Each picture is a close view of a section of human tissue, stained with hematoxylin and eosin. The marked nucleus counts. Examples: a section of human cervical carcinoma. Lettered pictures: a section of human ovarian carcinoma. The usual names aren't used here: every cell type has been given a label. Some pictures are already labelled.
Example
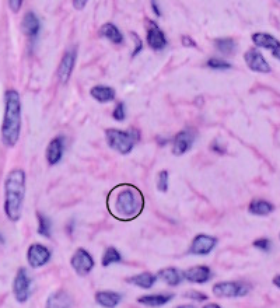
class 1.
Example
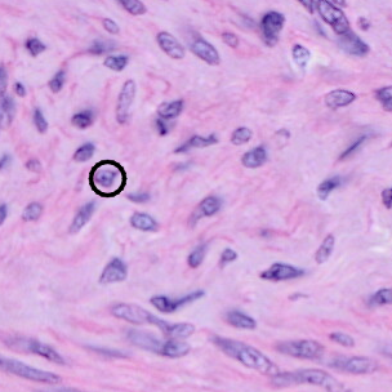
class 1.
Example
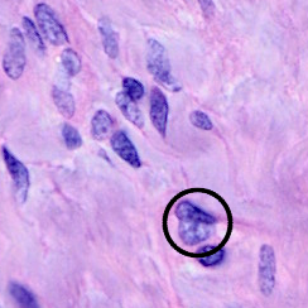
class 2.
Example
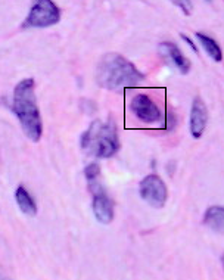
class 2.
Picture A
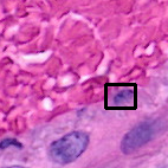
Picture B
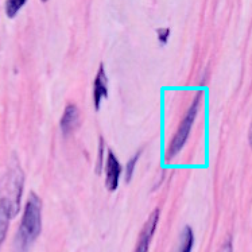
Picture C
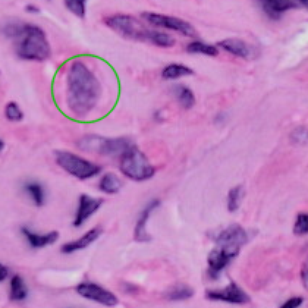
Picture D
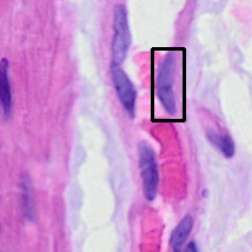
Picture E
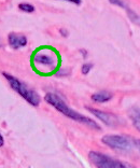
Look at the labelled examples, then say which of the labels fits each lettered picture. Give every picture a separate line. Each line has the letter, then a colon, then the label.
A: class 2.
B: class 1.
C: class 2.
D: class 2.
E: class 1.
